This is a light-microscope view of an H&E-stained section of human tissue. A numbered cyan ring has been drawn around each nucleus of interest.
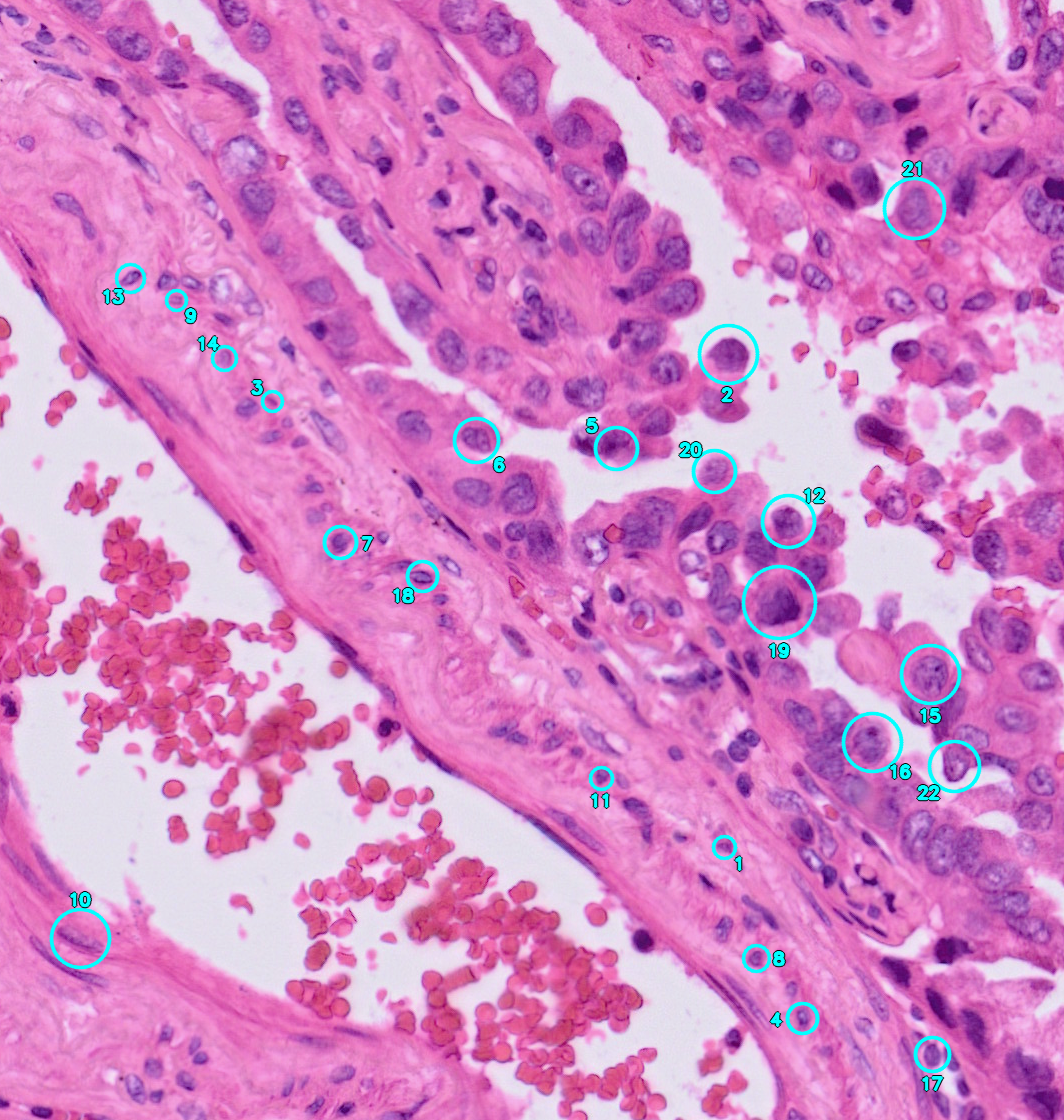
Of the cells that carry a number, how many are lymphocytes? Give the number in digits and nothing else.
1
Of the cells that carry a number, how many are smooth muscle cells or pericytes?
10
